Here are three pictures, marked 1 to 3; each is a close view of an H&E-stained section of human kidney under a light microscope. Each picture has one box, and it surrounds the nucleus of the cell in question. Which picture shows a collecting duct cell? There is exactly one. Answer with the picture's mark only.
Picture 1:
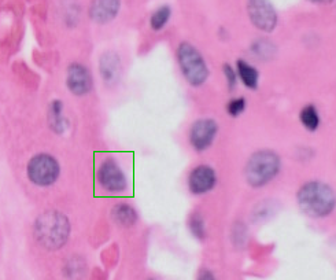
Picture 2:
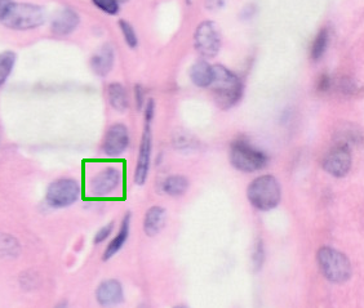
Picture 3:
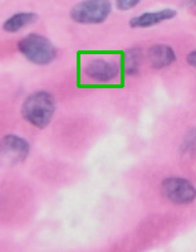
2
